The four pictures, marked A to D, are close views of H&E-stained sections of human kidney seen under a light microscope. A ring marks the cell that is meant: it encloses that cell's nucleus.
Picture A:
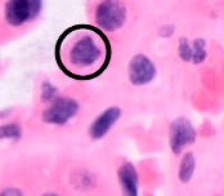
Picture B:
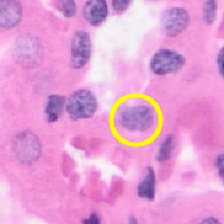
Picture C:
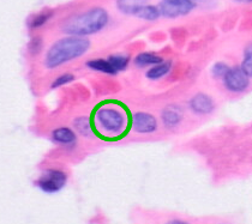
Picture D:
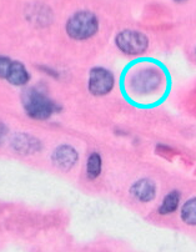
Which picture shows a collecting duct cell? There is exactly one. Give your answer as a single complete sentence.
The picture with the collecting duct cell is C.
